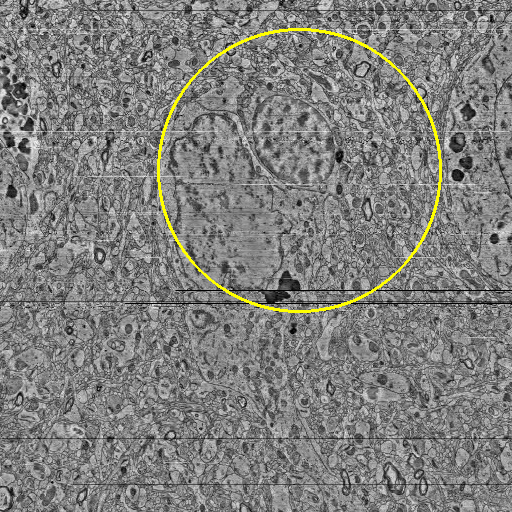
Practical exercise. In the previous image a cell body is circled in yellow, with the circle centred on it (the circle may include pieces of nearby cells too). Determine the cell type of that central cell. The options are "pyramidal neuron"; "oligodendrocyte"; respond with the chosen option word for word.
oligodendrocyte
